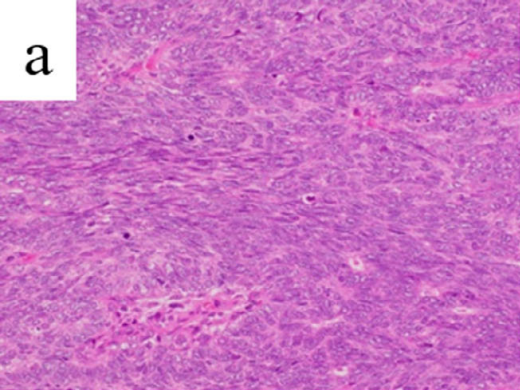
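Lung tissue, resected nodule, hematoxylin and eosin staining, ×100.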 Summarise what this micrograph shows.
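The cells crowd closely together, and their oval to elongated purple nuclei stream in loose bundles across the field, giving a dense, almost spindled look. The cytoplasm is scant and pale pink, so nuclei dominate the picture. Only a few thin pink strands of stroma and small vessels break up the sheets. Occasional small, dark, compact nuclei are scattered among the others. The overall pattern is a highly cellular, crowded growth.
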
